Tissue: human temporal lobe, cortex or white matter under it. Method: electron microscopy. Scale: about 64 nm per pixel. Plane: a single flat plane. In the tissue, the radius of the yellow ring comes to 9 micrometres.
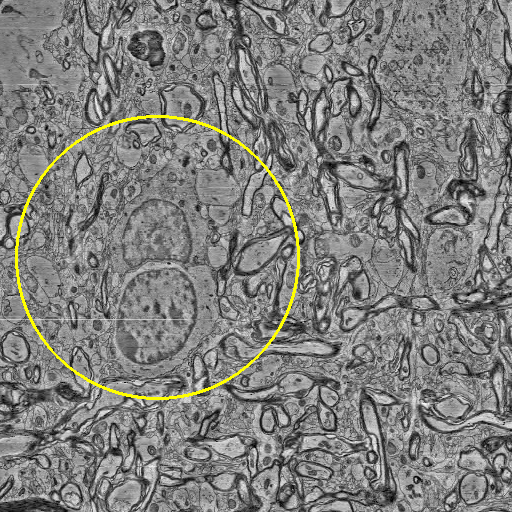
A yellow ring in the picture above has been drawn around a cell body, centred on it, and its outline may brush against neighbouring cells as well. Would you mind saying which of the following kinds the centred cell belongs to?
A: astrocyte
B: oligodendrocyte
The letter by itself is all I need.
B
